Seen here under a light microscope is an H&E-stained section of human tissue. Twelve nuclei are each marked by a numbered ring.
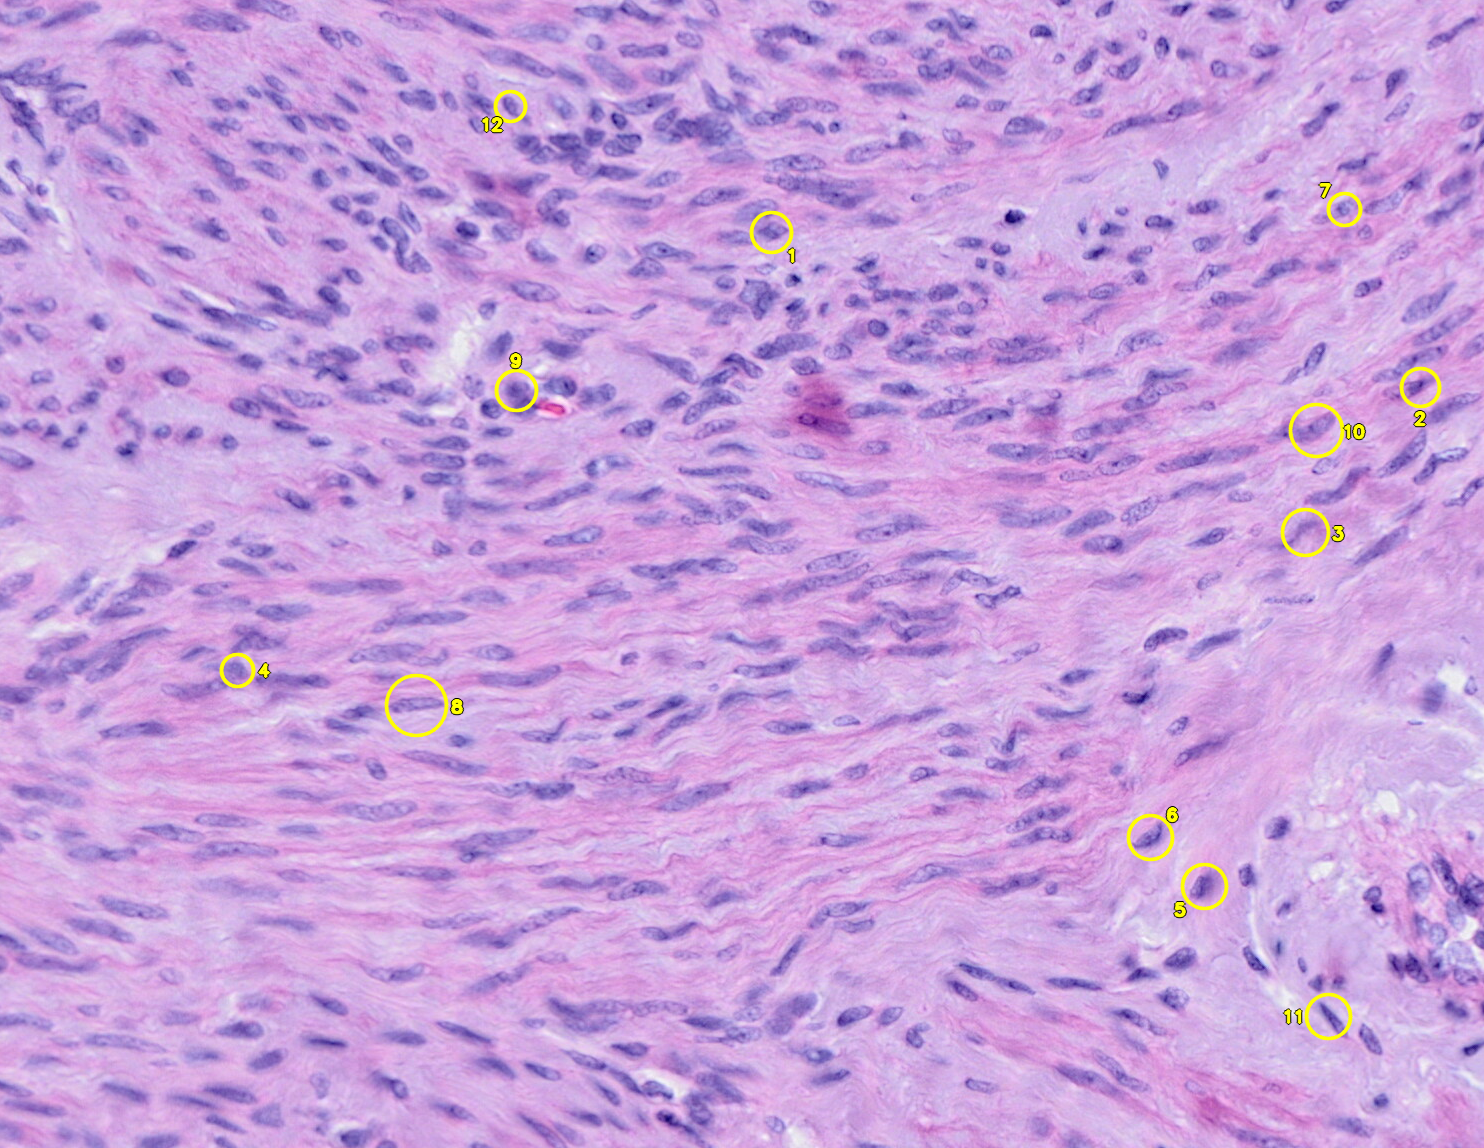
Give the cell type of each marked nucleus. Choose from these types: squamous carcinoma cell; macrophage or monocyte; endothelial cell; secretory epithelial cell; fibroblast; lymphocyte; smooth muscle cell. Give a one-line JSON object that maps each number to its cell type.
{"1": "smooth muscle cell", "2": "smooth muscle cell", "3": "smooth muscle cell", "4": "smooth muscle cell", "5": "fibroblast", "6": "fibroblast", "7": "smooth muscle cell", "8": "smooth muscle cell", "9": "endothelial cell", "10": "smooth muscle cell", "11": "fibroblast", "12": "fibroblast"}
